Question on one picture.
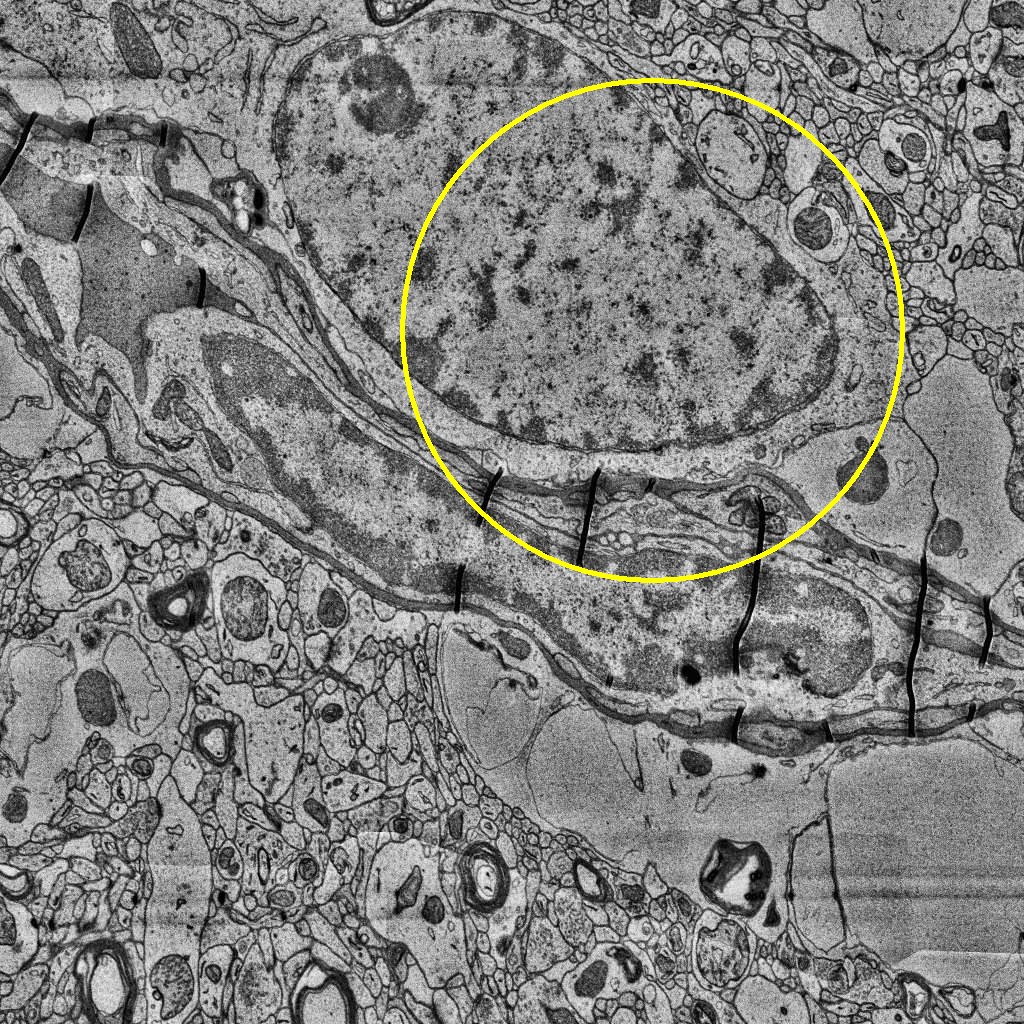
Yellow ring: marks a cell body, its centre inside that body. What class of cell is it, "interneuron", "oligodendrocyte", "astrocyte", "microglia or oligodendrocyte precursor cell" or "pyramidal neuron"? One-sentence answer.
This is a microglial cell or oligodendrocyte precursor cell, the cell at the ring's centre.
